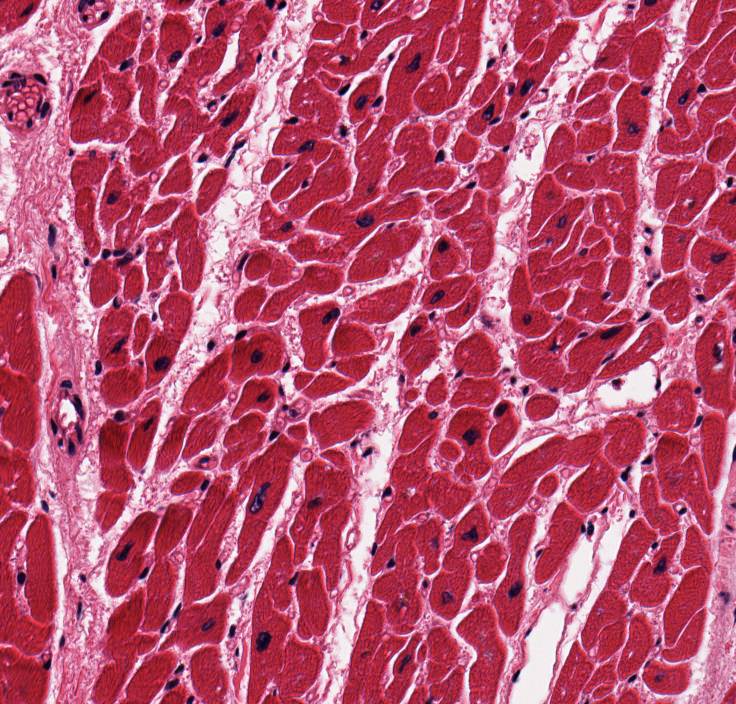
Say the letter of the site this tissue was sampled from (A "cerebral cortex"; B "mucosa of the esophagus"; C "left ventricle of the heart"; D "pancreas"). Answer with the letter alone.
C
